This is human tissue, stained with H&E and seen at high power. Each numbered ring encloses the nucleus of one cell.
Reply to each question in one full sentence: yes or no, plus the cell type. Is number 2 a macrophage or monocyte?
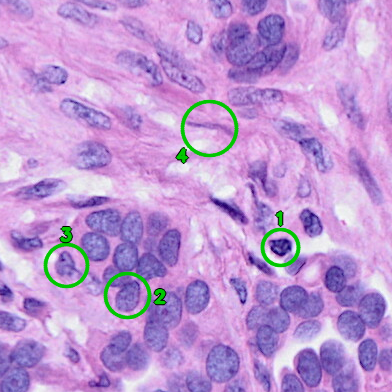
No; cell 2 is a carcinoma cell, not a macrophage or monocyte.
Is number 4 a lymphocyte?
No, in terms of cell type, cell 4 is a fibroblast, not a lymphocyte.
